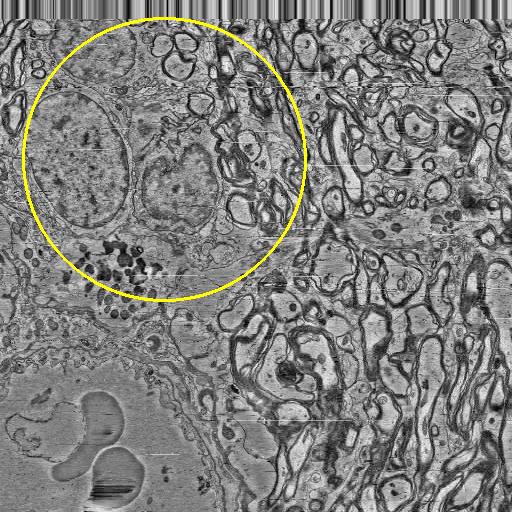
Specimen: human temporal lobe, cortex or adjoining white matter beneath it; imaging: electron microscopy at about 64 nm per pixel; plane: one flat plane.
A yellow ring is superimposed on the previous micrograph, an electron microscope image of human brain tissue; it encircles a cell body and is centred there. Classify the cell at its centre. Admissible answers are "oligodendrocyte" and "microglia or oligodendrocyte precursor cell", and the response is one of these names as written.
oligodendrocyte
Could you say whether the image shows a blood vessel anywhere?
Yes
